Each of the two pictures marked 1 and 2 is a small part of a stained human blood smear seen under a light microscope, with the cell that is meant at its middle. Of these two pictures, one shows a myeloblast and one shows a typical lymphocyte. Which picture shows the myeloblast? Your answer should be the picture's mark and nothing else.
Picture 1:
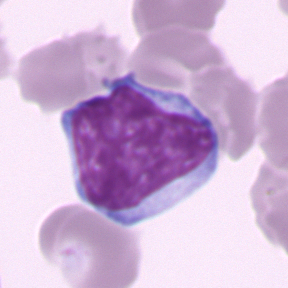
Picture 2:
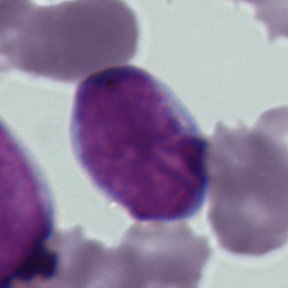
2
